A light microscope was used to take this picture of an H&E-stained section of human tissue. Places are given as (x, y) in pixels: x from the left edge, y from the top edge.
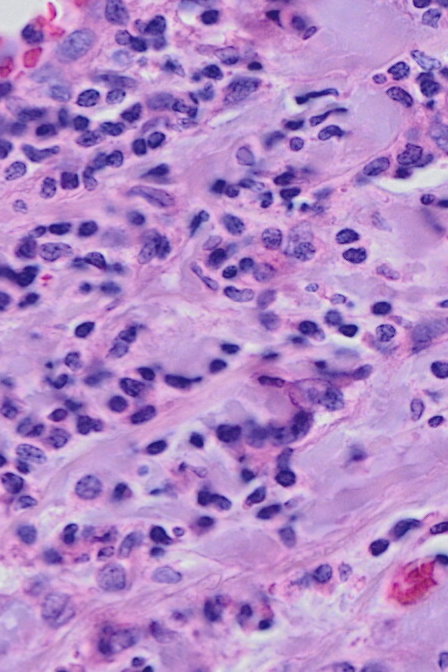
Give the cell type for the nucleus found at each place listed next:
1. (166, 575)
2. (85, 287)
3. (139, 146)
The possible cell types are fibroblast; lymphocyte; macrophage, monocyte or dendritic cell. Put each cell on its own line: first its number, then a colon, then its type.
1: macrophage, monocyte or dendritic cell
2: lymphocyte
3: lymphocyte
